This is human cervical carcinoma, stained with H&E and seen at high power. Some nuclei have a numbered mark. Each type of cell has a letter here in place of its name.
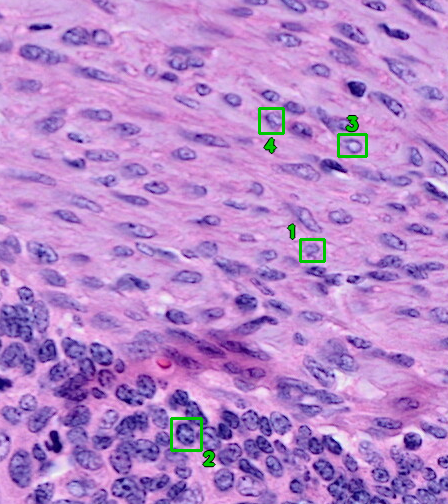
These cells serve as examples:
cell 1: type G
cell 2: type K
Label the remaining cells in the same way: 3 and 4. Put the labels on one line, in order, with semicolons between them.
type G; type G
